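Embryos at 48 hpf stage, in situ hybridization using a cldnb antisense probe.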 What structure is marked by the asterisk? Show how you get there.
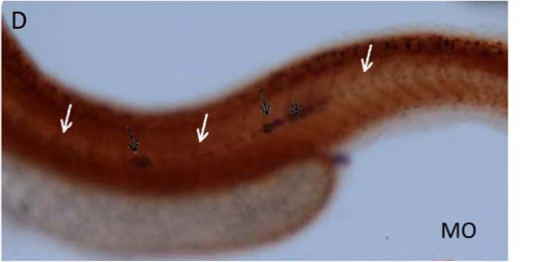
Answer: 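An elongated purple-stained cell cluster lies next to the asterisk. It sits in the middle of the trunk rather than near the tail tip.
Answer: stalled primordium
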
